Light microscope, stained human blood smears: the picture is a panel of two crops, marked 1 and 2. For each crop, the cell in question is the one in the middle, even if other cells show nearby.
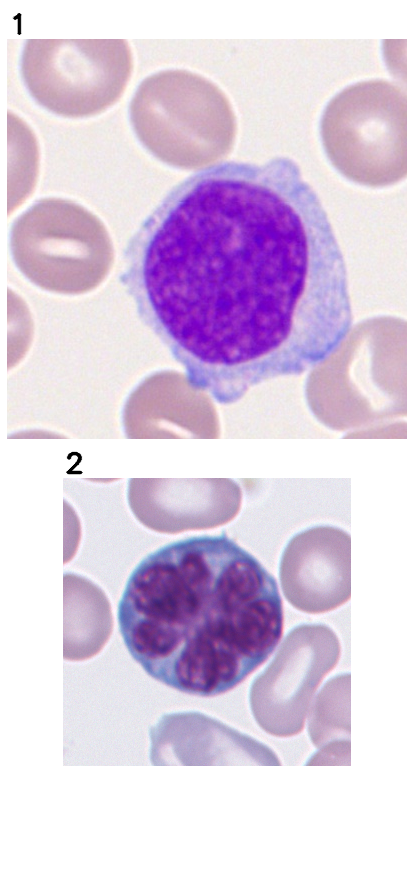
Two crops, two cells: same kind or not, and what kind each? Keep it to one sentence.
Yes, both crops show blasts in the middle.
